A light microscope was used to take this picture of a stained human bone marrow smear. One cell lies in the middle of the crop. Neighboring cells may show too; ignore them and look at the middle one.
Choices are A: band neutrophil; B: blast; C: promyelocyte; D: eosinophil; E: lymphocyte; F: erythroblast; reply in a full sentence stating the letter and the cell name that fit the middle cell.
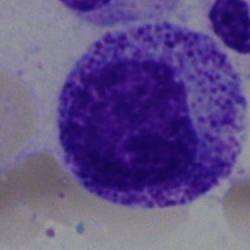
The cell in the centre of the crop is a promyelocyte, so option C is the correct one.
